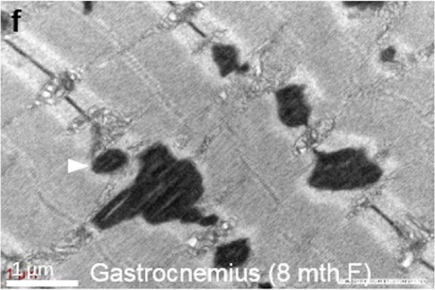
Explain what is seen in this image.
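A longitudinal section of a skeletal muscle fibre shows myofibrils with regular sarcomeres and Z lines. Several very dense black bodies, some rod-shaped and some irregular, lie within the sarcomeres in line with the Z lines, standing out sharply against the grey myofilaments.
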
